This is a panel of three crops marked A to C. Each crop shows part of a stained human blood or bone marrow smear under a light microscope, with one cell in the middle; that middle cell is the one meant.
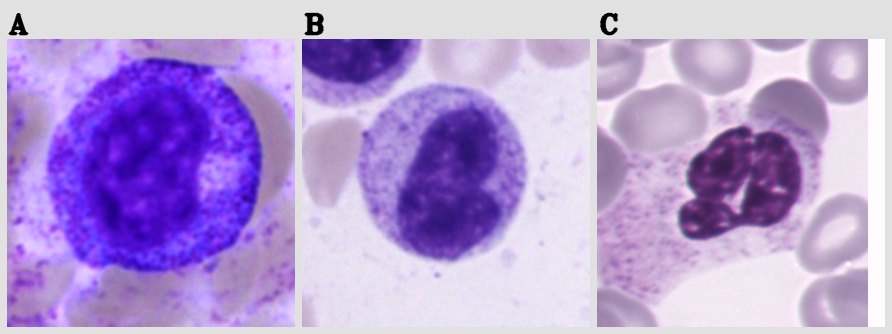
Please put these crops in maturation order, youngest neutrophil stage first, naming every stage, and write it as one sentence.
Counting from the least mature up to the most mature, the order is crop A (a promyelocyte), crop B (a metamyelocyte) and crop C (a segmented neutrophil).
